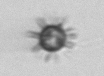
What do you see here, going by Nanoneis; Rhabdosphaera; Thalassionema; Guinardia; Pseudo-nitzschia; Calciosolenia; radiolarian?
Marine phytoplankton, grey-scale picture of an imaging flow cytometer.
I see Rhabdosphaera.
